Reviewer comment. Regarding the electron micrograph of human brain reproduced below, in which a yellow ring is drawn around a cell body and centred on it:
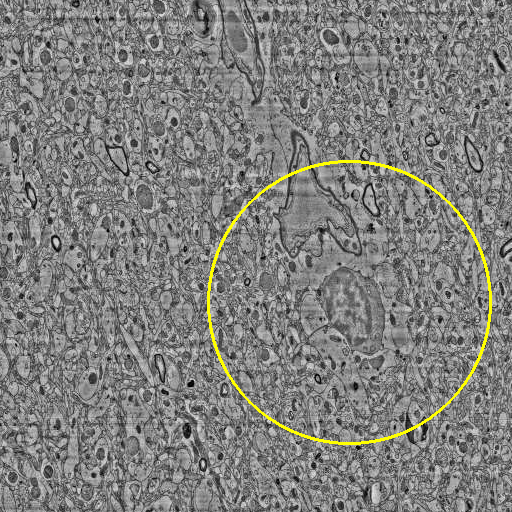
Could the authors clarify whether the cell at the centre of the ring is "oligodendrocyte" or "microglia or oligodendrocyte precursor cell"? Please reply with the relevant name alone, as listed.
oligodendrocyte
